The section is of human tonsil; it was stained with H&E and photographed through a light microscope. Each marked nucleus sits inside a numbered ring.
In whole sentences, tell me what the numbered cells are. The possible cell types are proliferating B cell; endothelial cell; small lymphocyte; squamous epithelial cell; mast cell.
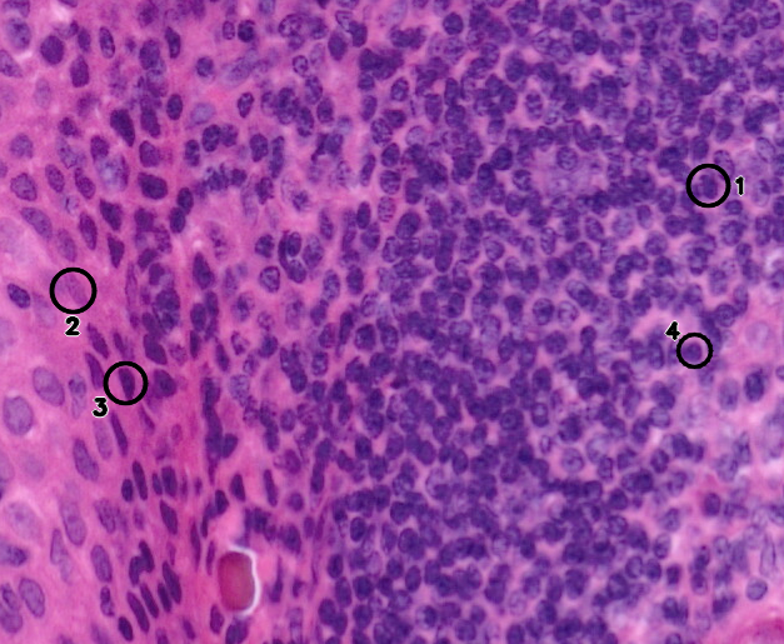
Cells 1 and 4 are small lymphocytes. Cells 2 and 3 are squamous epithelial cells.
